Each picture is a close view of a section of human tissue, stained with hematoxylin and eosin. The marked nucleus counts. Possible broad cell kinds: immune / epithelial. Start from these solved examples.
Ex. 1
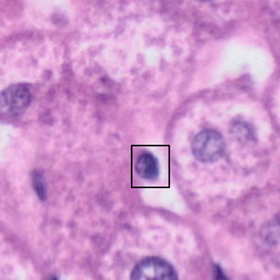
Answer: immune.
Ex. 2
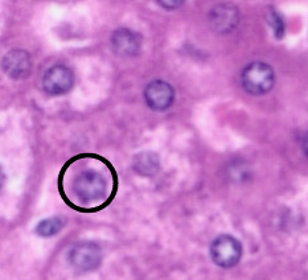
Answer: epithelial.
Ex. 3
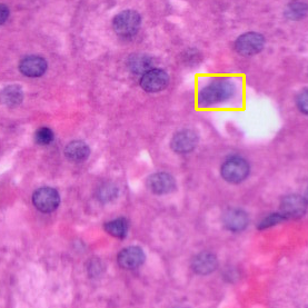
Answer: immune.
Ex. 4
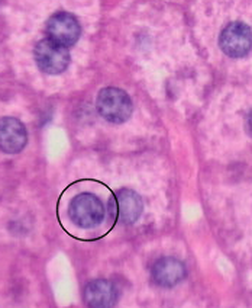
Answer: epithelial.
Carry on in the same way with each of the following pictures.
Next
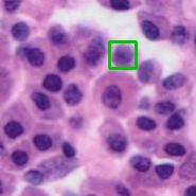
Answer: immune.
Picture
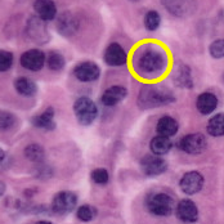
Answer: immune.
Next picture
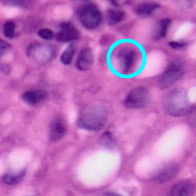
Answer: epithelial.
